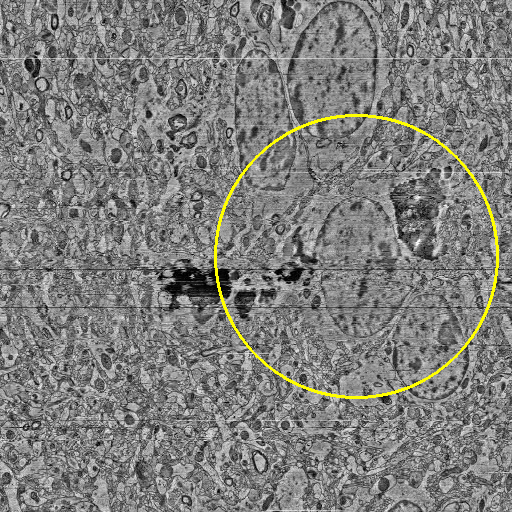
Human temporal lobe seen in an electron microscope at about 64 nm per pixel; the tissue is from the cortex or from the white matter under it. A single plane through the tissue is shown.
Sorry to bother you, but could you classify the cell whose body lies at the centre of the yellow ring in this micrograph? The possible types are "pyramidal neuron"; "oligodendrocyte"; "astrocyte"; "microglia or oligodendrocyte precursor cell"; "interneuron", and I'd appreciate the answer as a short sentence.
The ringed cell body is that of an astrocyte.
